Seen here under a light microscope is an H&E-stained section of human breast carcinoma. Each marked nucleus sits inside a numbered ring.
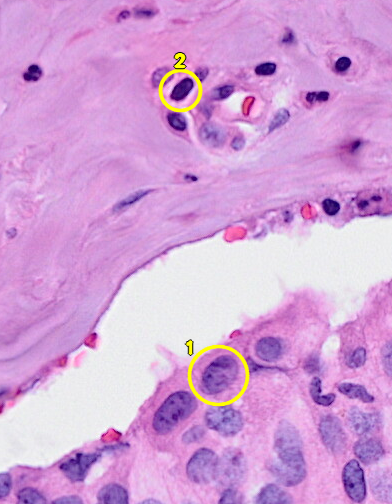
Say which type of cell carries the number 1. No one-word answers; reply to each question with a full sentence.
Within this field of view, the cell labelled 1 is a carcinoma cell.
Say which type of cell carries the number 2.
The identity of cell 2 is that of a lymphocyte.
